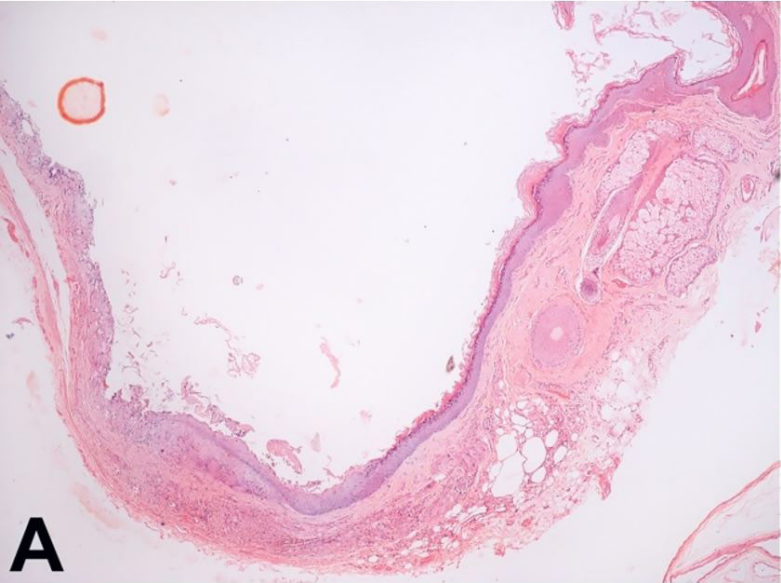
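Low-power view of a cyst wall lined by stratified squamous epithelium with keratinization, with adnexal structures in the wall. A large empty lumen occupies the upper left. A curved band of multilayered epithelium stained pink to purple lines it, and thin pale pink flakes lie on its luminal surface. Beneath the lining is pink fibrous connective tissue. Lobules of pale, bubbly cells and a round follicle-like structure lie within it. Clear round fat cells are seen toward the outer side. At the lower left the wall looks more cellular and purple.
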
